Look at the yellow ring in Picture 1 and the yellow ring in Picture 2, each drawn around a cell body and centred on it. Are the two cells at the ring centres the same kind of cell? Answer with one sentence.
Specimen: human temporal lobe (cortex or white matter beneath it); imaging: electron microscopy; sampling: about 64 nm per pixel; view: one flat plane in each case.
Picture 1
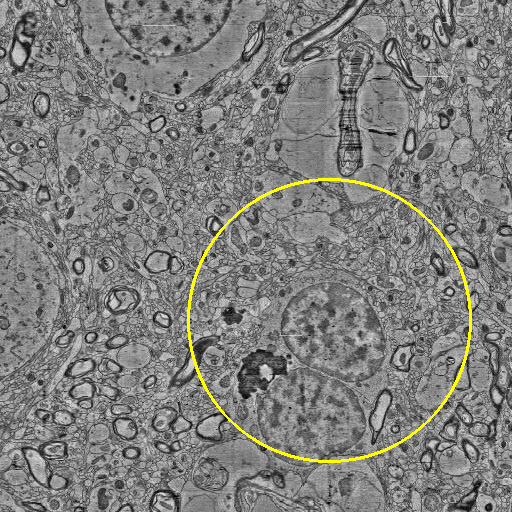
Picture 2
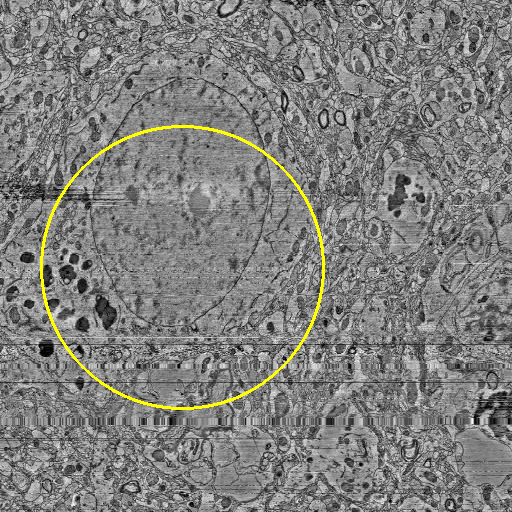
No, they are cells of two kinds.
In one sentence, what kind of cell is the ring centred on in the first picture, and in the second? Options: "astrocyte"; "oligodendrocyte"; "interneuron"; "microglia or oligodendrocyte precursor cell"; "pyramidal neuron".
The cell at the centre of the second ring is a pyramidal neuron; the first ring's cell is an oligodendrocyte.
